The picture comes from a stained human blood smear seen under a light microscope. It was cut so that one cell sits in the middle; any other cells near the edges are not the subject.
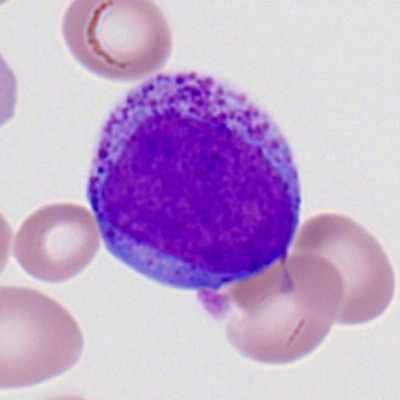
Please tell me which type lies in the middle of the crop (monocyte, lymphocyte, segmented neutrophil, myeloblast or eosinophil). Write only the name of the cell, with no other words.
myeloblast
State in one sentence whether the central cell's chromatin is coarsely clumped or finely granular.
The chromatin is fine, with no coarse clumping anywhere.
